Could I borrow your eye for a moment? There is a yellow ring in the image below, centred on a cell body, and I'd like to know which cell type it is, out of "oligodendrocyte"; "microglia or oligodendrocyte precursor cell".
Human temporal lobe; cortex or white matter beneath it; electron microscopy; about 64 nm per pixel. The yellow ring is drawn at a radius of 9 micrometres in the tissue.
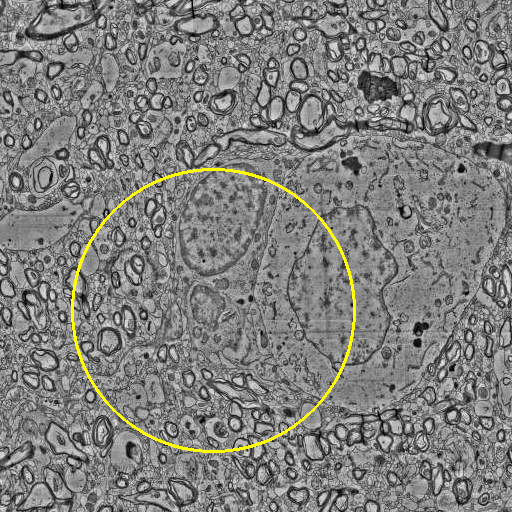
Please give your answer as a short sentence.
The cell body at the centre is that of an oligodendrocyte.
